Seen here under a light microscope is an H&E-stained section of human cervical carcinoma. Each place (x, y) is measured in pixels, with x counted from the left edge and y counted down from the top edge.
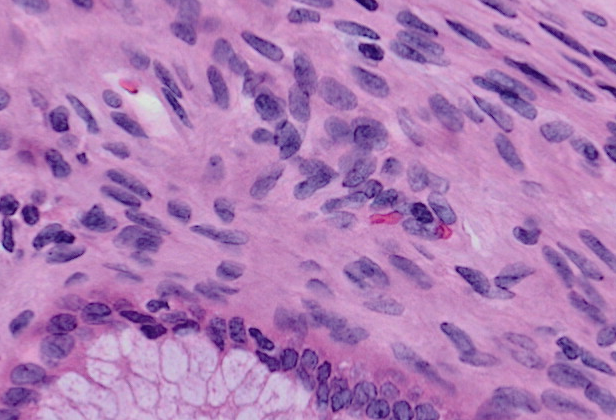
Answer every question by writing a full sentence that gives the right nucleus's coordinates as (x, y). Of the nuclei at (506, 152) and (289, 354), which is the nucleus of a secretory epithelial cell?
Of the two nuclei present, the one at (289, 354) is within a secretory epithelial cell.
